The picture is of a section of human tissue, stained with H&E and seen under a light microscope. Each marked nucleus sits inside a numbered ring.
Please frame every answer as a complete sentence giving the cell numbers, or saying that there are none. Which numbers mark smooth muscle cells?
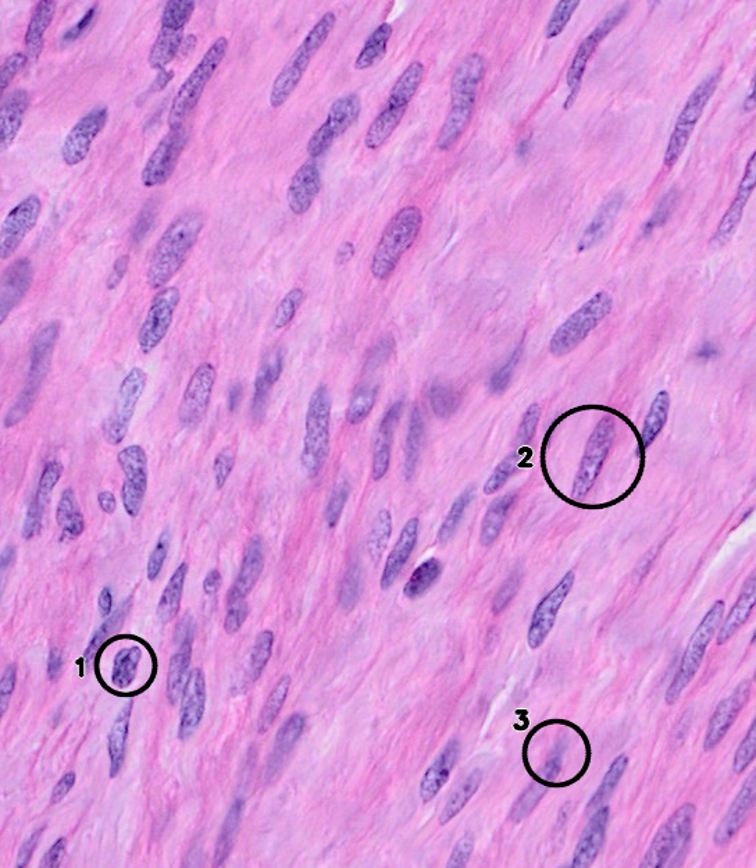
The cells numbered 2 and 3 are of one kind: smooth muscle cells.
